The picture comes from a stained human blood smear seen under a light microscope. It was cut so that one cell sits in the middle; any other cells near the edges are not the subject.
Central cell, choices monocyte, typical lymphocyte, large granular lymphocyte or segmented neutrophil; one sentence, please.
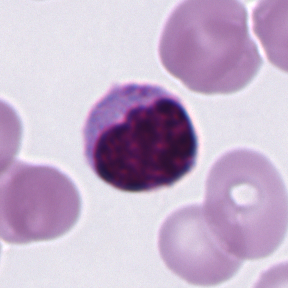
For this crop, the cell in the middle is a typical lymphocyte.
